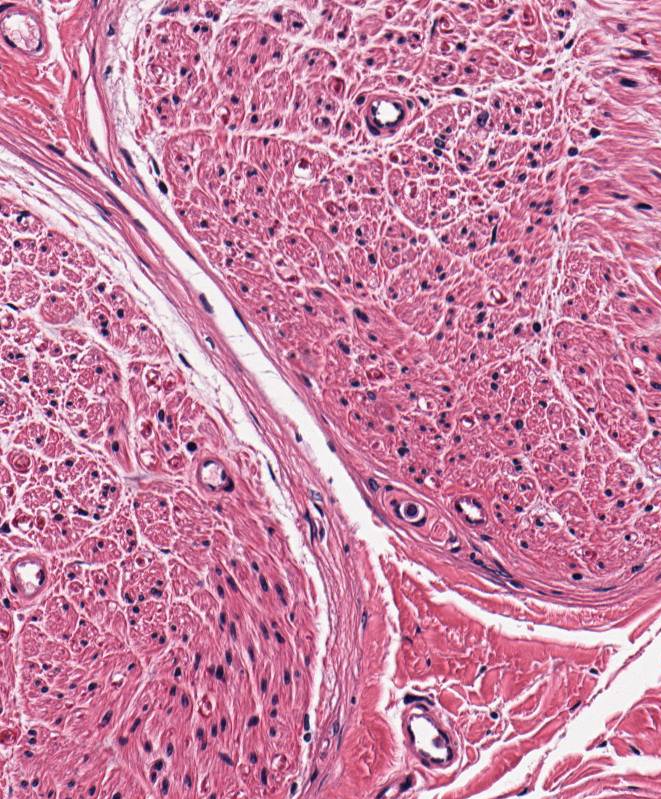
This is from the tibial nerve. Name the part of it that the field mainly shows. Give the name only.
nerve fascicle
